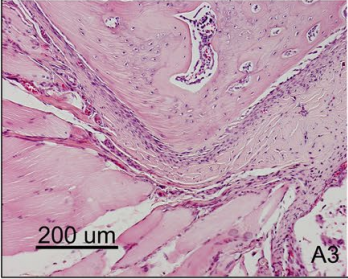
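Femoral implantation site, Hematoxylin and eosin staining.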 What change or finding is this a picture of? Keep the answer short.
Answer: Periosteal thickening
